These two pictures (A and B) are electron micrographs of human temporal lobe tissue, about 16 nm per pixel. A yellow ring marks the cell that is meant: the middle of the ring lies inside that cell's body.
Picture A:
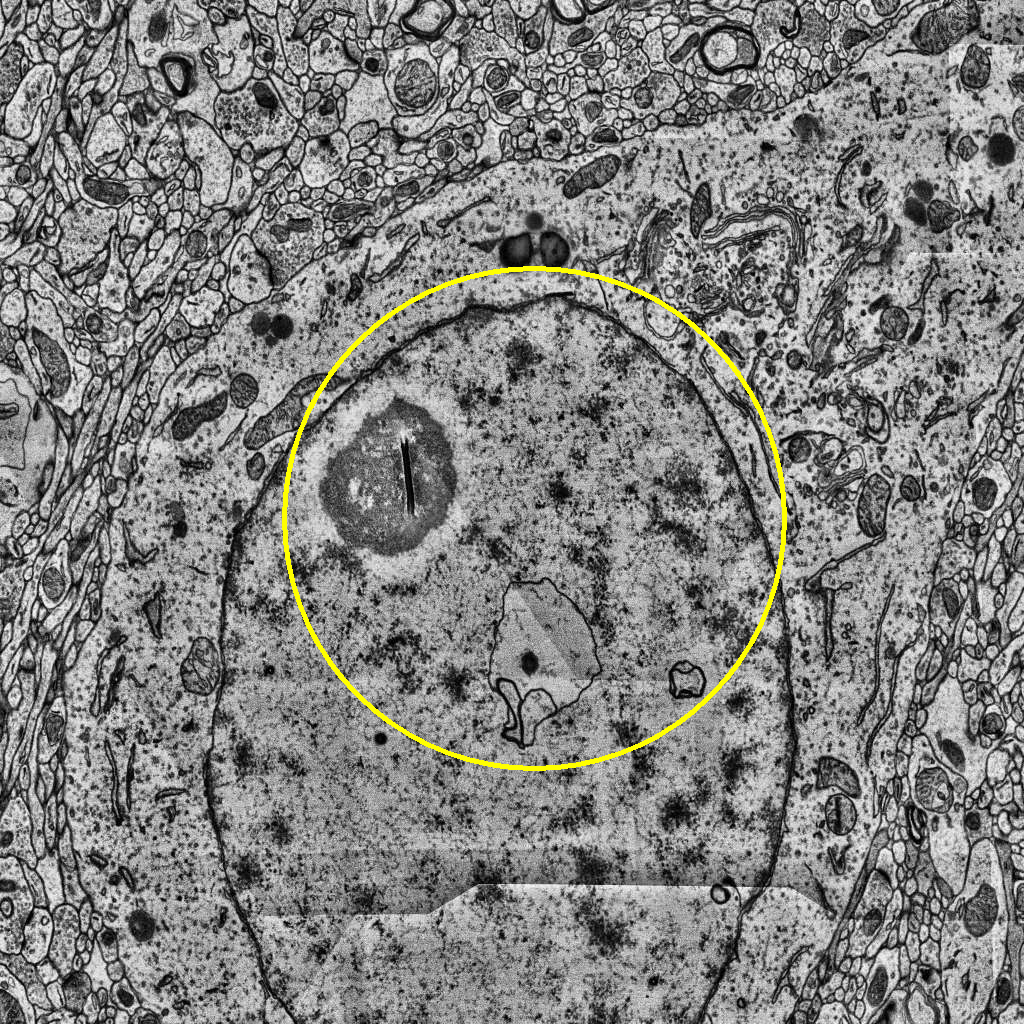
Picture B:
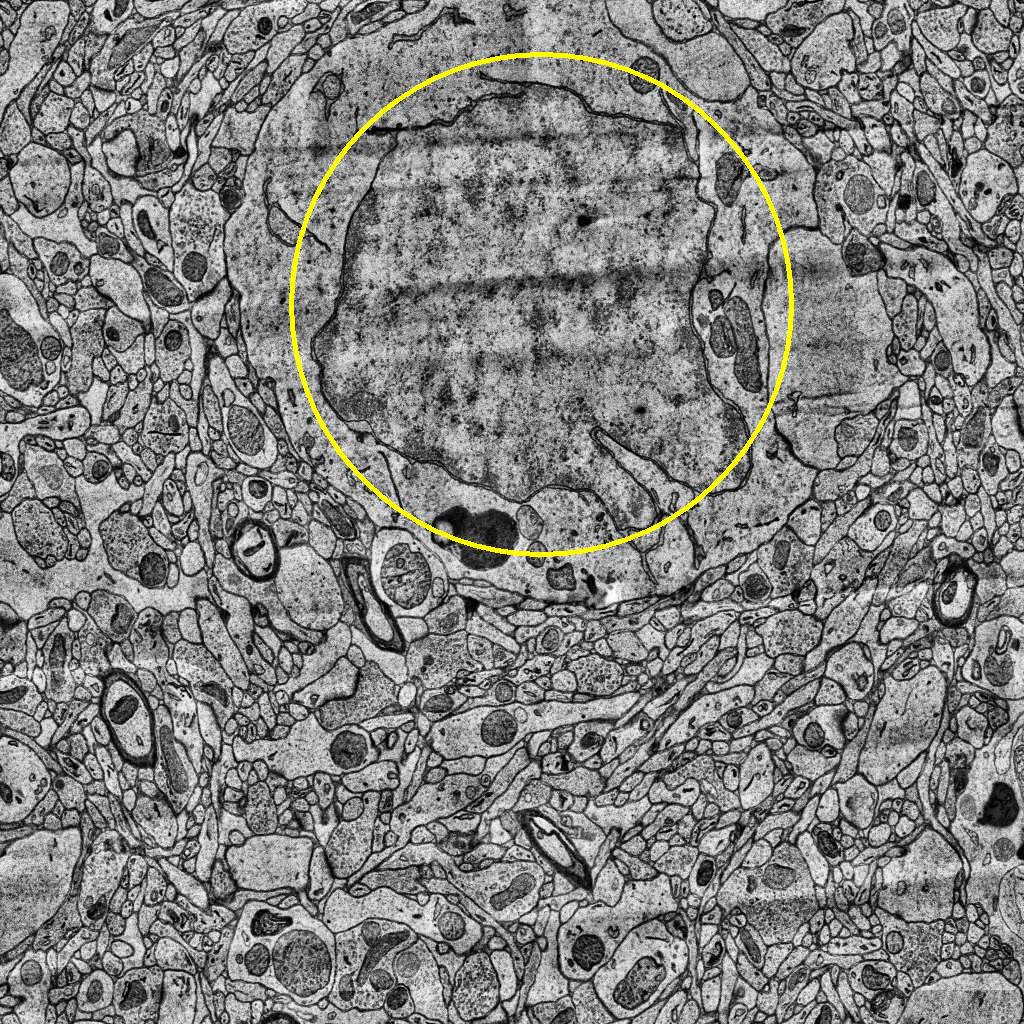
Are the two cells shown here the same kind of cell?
No; the cell in picture A is a pyramidal neuron, while the one in picture B is an interneuron.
